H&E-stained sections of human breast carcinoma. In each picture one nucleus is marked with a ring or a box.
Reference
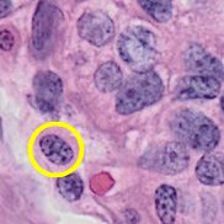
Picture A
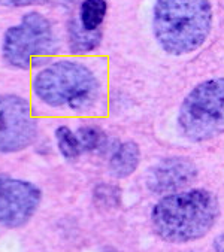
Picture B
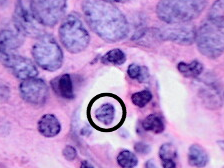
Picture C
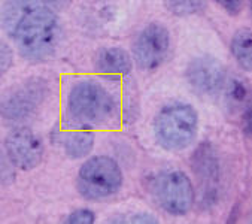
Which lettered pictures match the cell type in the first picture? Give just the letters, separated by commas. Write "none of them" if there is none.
none of them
